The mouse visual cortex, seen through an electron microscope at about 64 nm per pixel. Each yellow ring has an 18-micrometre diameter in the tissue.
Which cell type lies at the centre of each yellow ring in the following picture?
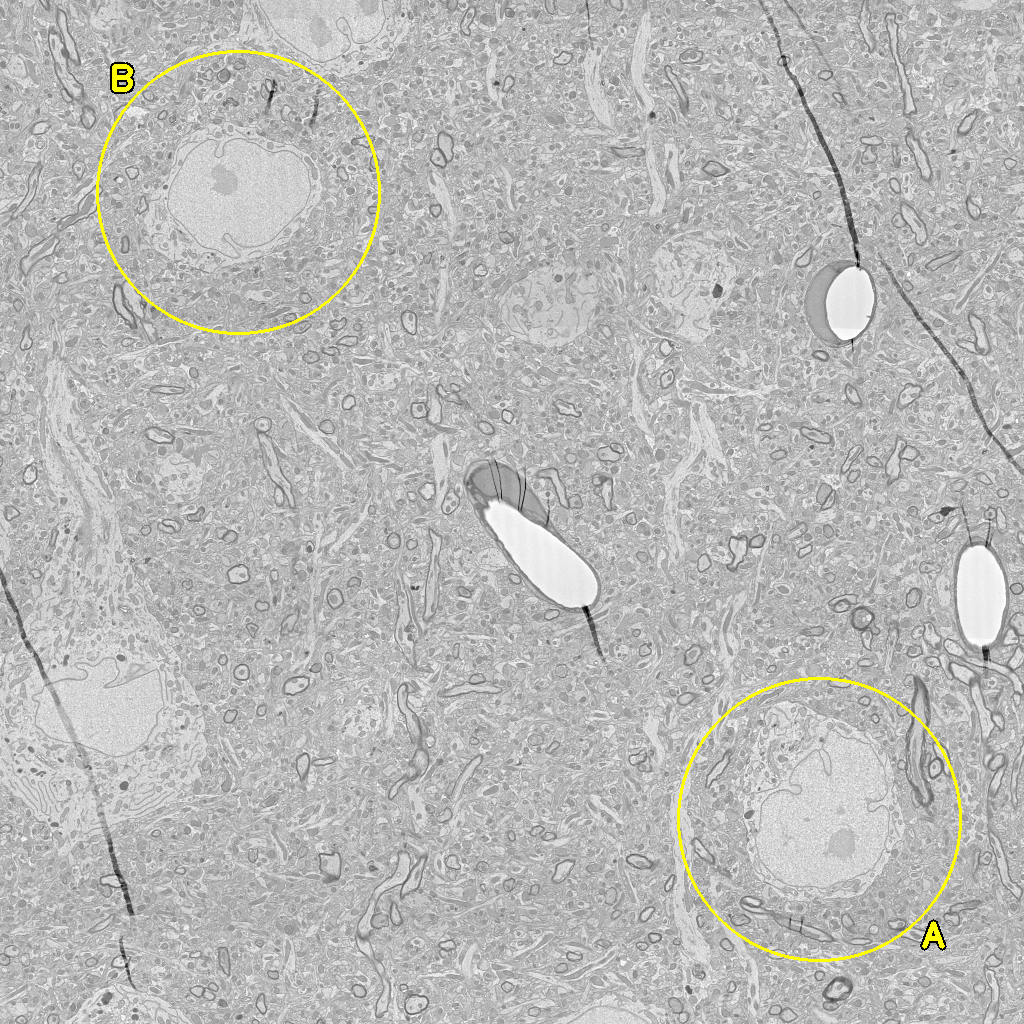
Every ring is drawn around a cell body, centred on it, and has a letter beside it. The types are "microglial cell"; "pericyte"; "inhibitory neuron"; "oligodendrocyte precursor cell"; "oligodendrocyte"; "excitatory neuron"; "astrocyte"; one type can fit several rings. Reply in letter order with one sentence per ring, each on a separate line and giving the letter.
Ring A marks the cell body of an inhibitory neuron.
Ring B marks the cell body of an excitatory neuron.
